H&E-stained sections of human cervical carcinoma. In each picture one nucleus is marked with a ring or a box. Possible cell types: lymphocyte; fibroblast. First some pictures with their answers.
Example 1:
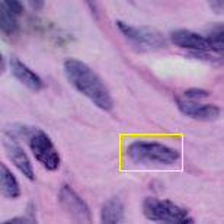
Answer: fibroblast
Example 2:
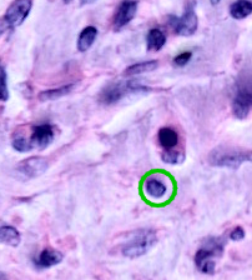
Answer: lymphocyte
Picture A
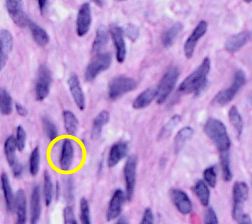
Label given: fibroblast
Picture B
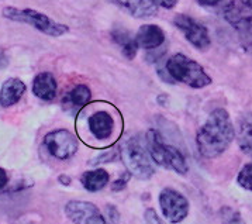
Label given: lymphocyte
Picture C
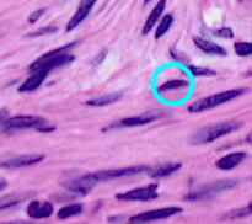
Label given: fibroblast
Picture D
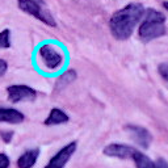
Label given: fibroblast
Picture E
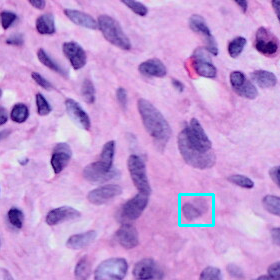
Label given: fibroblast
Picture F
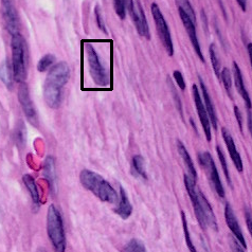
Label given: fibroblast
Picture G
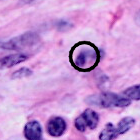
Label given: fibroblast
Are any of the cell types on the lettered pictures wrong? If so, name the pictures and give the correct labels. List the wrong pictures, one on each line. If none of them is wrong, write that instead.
G: not fibroblast but lymphocyte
